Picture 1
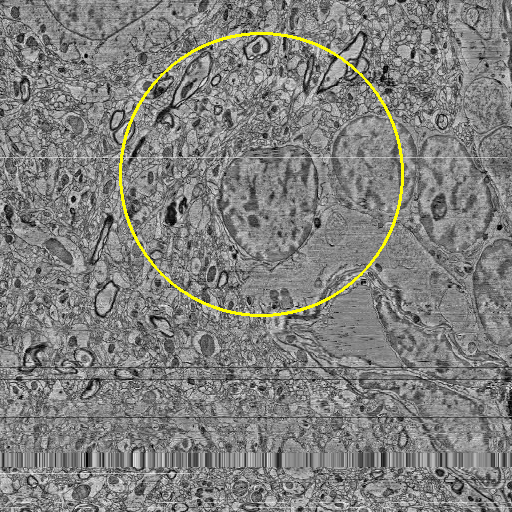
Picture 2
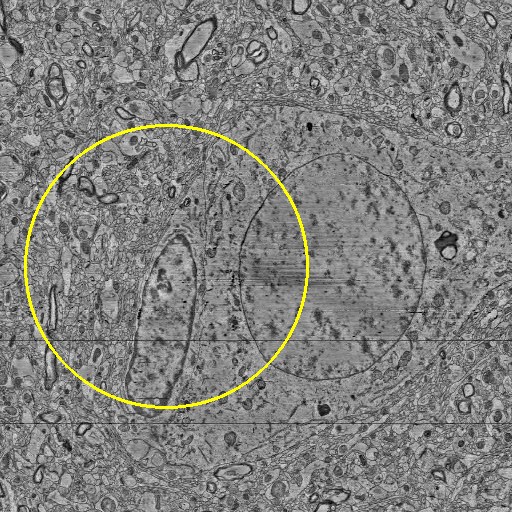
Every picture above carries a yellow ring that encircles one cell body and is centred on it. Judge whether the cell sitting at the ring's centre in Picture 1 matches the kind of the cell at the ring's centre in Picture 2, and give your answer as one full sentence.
Yes, the cells centred in the rings of Pictures 1 and 2 belong to one kind.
